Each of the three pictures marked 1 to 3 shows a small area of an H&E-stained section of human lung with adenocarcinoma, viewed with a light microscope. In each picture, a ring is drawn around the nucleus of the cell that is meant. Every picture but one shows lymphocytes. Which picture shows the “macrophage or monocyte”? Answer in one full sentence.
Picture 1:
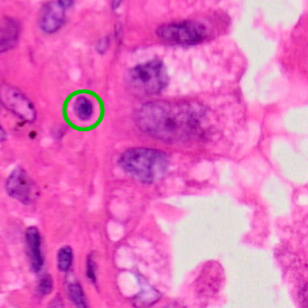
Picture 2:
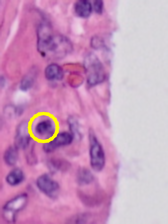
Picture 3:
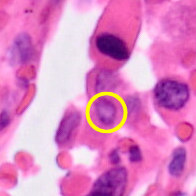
The picture with the “macrophage or monocyte” is 3.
